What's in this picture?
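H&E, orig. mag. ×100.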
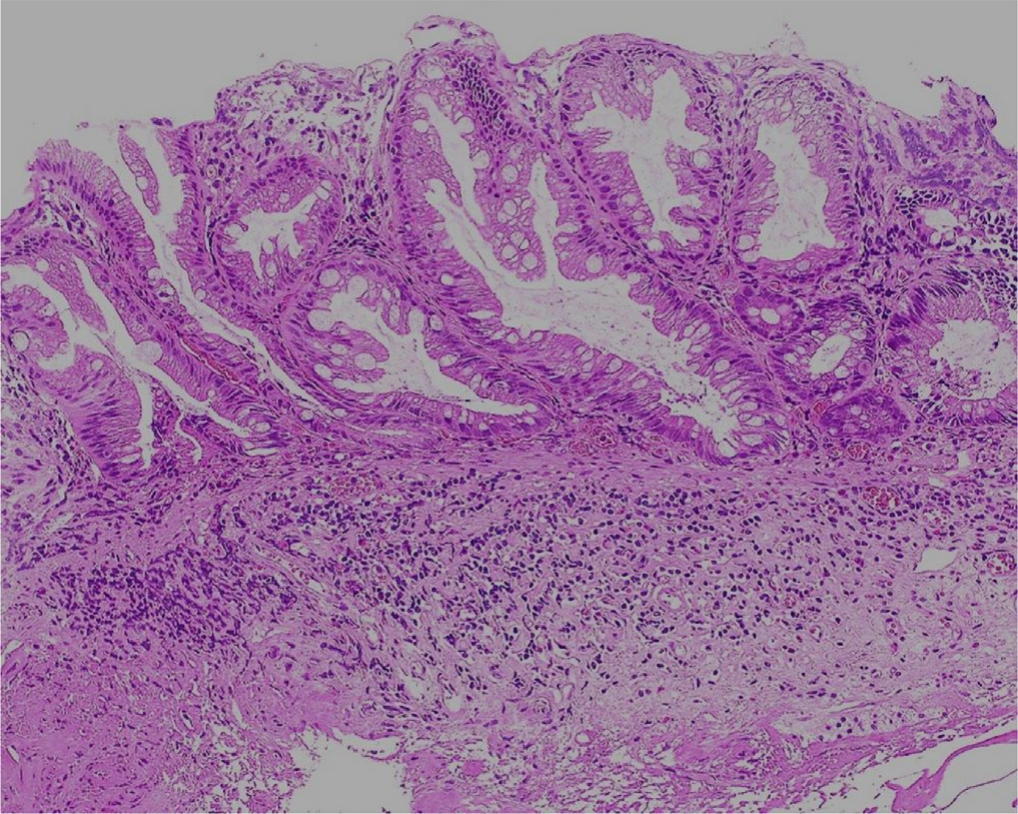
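This is large-bowel mucosa with a sessile serrated lesion, made up of crypts lined by columnar epithelium with many goblet cells. The crypt lumens are dilated and hold pale mucin. Their borders are serrated, with a saw-tooth, in-and-out contour. Near the bottom of the mucosa the crypts widen and turn sideways, running horizontally along the base like the foot of a boot, instead of tapering straight down. The epithelial nuclei are mostly small and lie at the base of the cells. Beneath the crypts lies a densely cellular stroma with many small dark inflammatory cells, and there are small congested blood vessels at the junction.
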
